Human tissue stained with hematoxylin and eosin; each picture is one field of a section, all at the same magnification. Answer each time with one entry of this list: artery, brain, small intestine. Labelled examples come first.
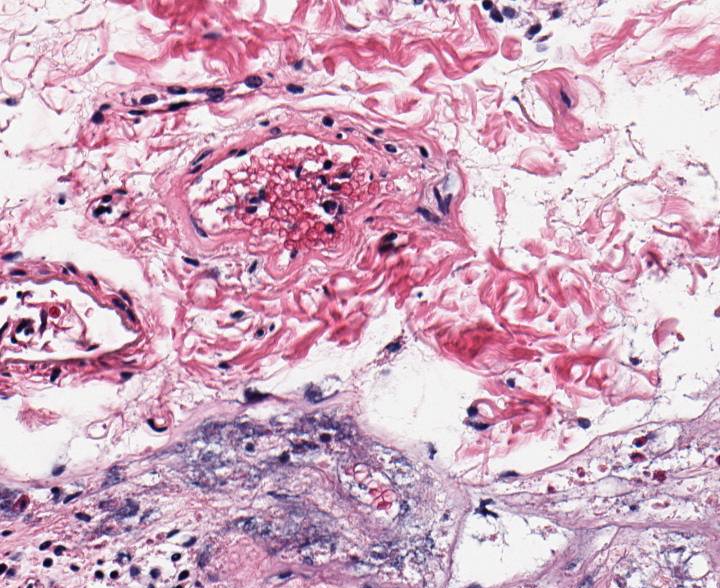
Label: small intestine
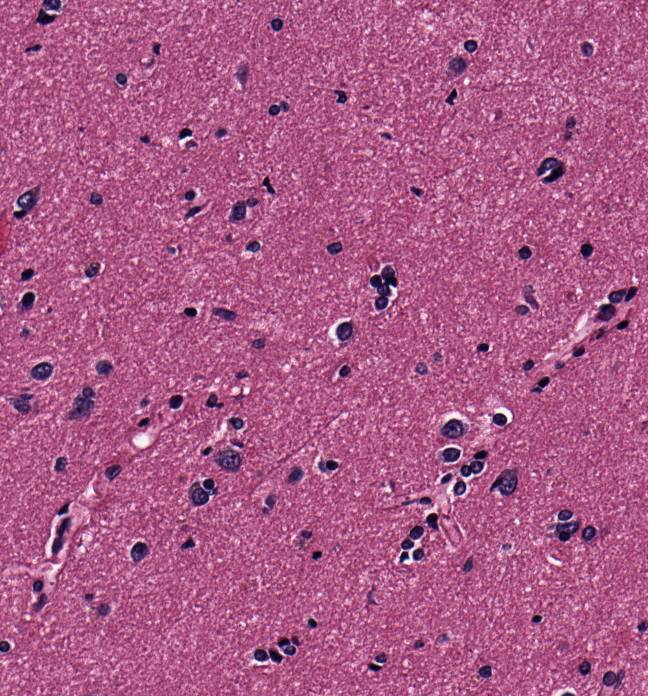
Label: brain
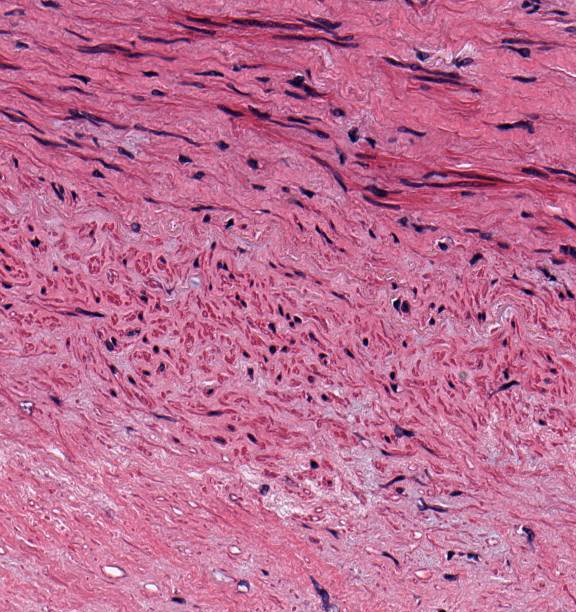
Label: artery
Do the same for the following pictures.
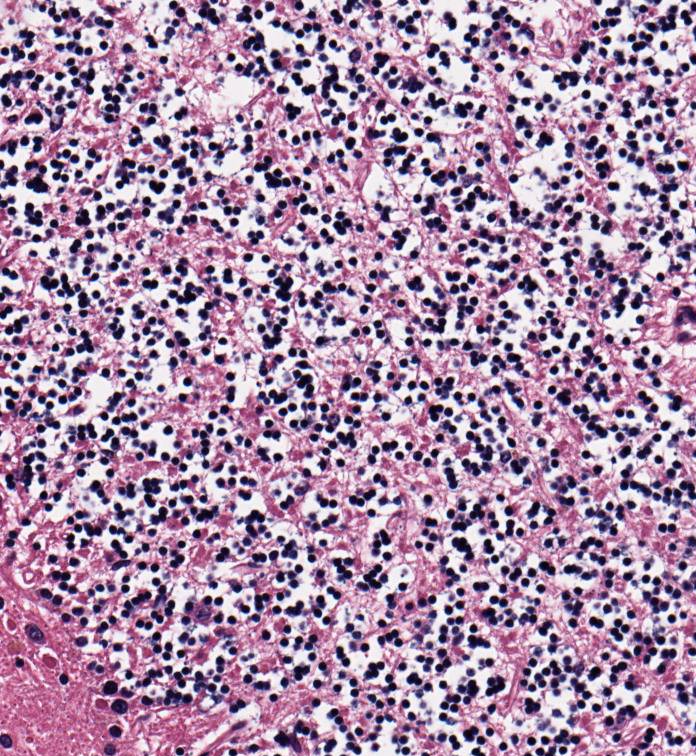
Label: brain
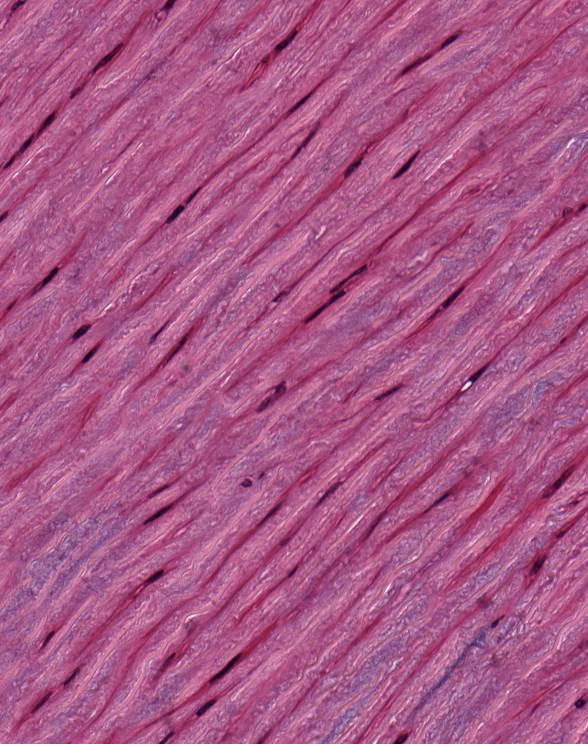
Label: artery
